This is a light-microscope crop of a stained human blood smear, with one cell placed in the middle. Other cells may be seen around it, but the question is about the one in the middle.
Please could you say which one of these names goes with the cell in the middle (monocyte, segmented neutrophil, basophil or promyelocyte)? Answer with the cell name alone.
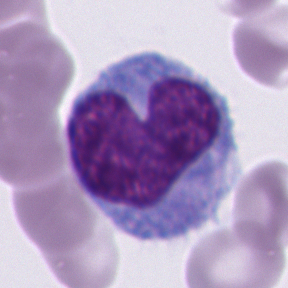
monocyte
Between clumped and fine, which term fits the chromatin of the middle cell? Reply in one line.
No coarse chromatin clumps are present; the pattern is fine.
